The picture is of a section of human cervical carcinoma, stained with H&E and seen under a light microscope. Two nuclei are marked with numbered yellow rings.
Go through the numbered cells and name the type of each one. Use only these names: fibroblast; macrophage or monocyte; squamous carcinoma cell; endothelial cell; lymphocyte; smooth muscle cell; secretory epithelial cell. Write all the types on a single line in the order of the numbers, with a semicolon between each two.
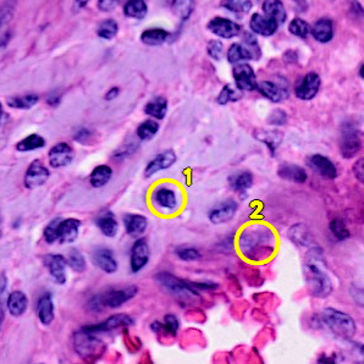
lymphocyte; endothelial cell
